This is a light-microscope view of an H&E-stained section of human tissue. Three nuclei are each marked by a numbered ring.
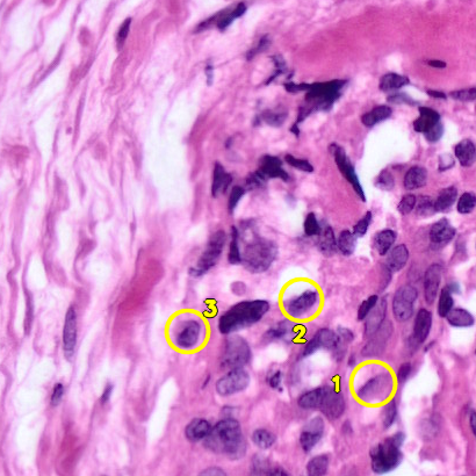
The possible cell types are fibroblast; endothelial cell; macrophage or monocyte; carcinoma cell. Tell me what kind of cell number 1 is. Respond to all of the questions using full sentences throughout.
The numeral 1 marks a macrophage or monocyte in this section.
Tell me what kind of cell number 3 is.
Among the marked cells, number 3 is a macrophage or monocyte.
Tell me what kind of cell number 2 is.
Among the marked cells, number 2 is a carcinoma cell.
